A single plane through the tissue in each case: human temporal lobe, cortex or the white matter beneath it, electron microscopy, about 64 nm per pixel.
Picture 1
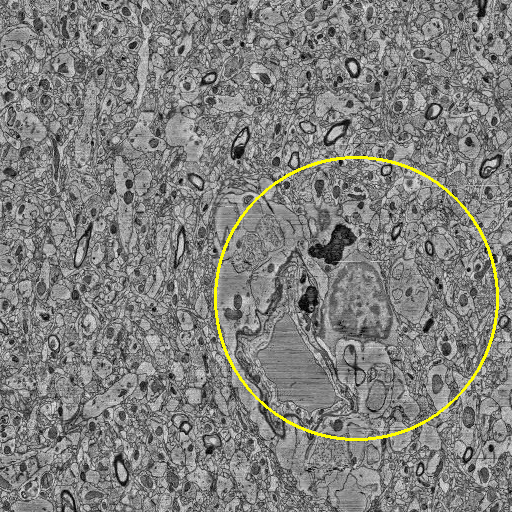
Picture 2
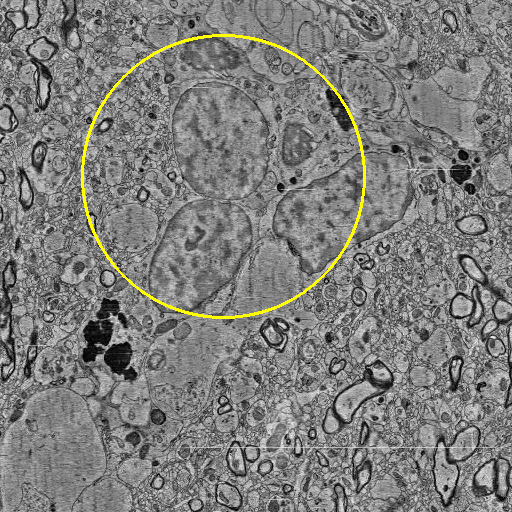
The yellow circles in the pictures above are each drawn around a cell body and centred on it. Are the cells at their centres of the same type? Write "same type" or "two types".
same type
